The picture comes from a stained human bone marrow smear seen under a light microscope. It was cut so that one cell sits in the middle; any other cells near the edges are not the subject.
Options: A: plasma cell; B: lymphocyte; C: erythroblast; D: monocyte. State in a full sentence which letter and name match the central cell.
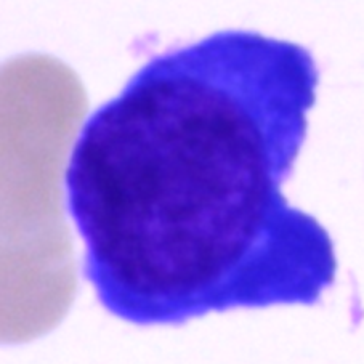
The correct choice is option A, which identifies the middle cell as a plasma cell.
